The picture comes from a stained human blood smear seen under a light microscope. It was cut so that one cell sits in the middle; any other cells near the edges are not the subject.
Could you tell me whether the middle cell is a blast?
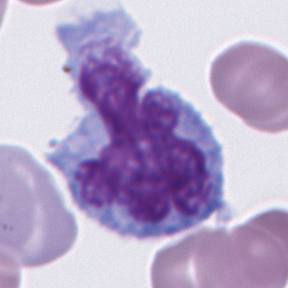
no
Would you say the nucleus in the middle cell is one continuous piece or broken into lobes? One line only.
Two or more lobes make up the nucleus of this cell.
